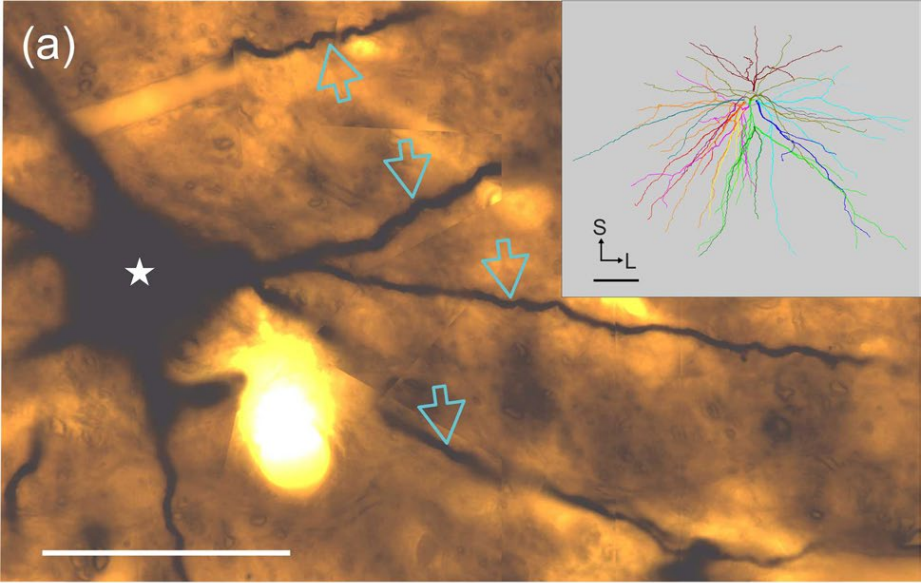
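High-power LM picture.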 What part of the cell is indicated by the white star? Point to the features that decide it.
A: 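The star sits on a large, dark, filled cell body. Several thick processes leave this body.
Hence: soma.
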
